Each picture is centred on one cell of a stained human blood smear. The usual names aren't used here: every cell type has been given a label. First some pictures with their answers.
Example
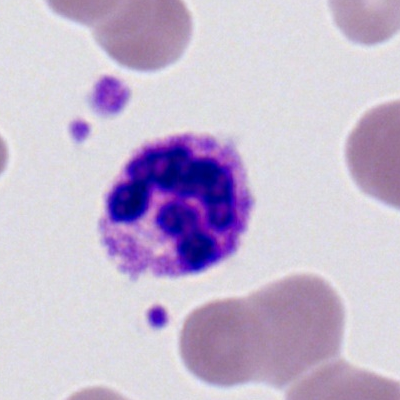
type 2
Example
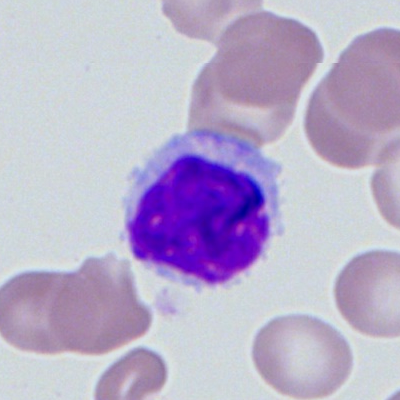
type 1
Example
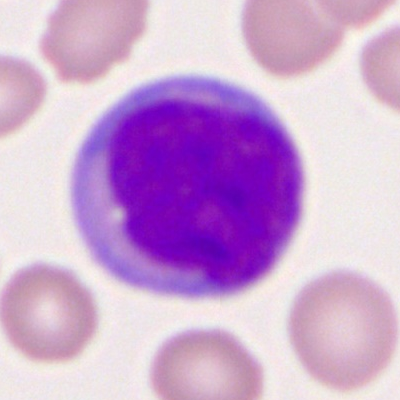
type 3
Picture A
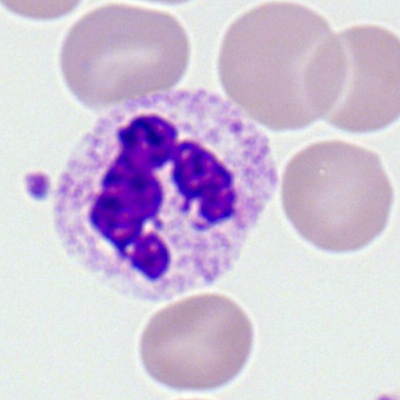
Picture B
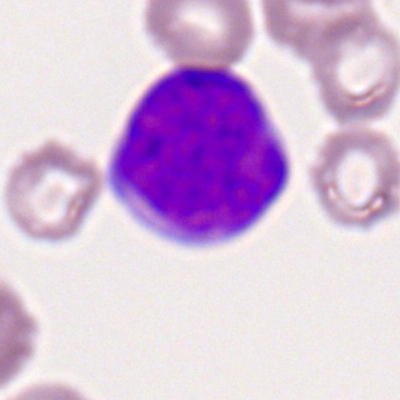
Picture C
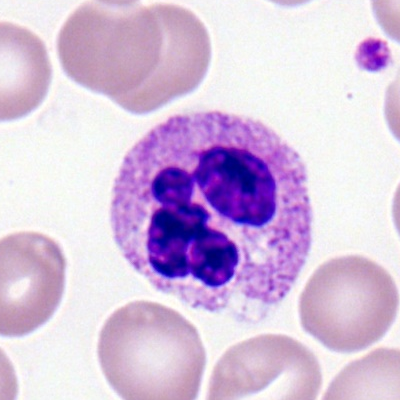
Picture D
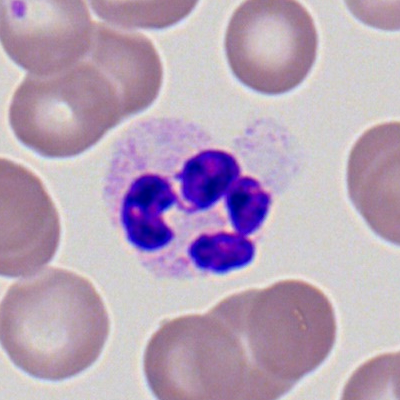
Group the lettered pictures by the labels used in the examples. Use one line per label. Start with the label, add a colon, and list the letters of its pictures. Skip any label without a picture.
type 2: A, C, D
type 3: B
